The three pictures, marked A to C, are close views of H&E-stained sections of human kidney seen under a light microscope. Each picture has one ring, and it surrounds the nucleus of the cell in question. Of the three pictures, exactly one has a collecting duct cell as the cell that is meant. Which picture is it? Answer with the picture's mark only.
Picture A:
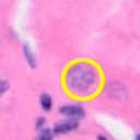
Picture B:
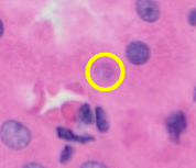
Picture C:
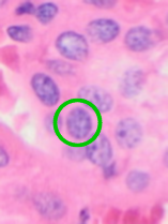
C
